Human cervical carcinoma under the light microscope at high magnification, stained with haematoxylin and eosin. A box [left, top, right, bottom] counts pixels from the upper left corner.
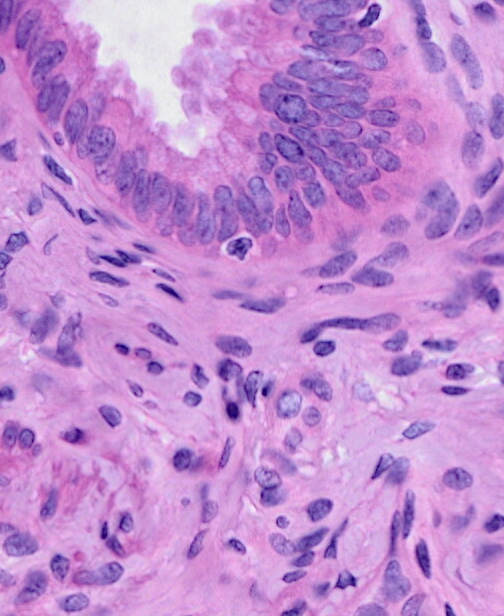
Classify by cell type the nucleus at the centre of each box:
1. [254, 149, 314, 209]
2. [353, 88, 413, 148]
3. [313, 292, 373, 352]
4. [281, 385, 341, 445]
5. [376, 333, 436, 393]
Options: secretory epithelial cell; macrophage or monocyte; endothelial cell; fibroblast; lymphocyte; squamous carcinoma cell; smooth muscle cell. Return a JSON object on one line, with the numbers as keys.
{"1": "secretory epithelial cell", "2": "secretory epithelial cell", "3": "fibroblast", "4": "endothelial cell", "5": "fibroblast"}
